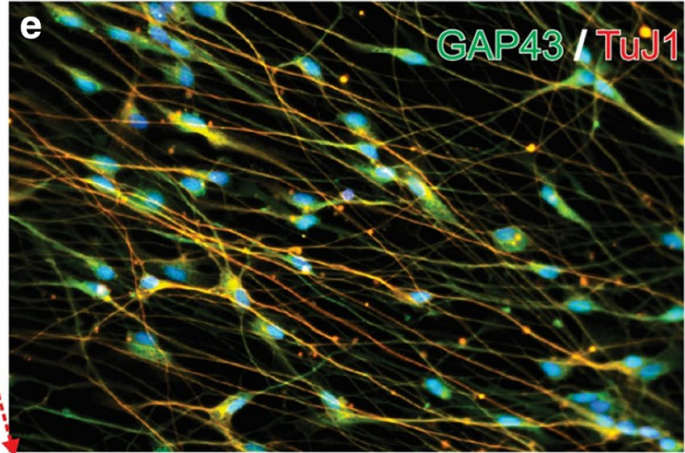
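Fluorescence image of differentiated neurons in culture, with small cell bodies containing round to oval blue nuclei scattered across a dark background. Thin, long processes extend from the cell bodies and form a dense network, many running roughly in the same diagonal direction. The cell bodies and processes appear green, orange and yellow where the two colours overlap, and small bright dots lie along some processes. The cell bodies are small, with little cytoplasm around the nucleus.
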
